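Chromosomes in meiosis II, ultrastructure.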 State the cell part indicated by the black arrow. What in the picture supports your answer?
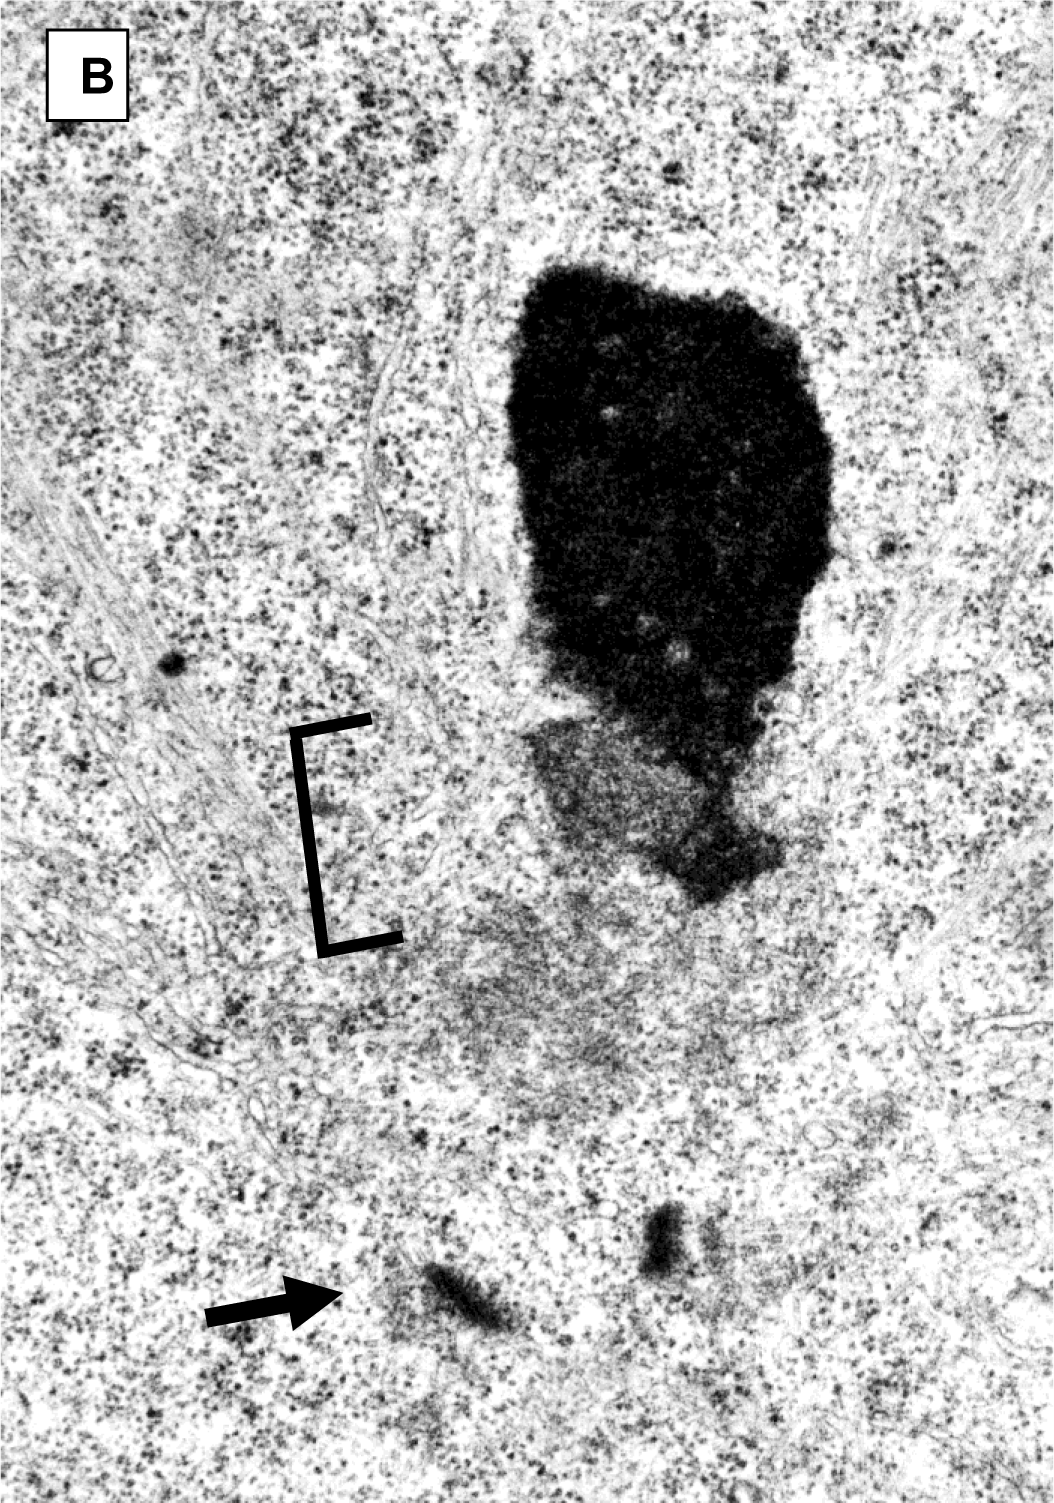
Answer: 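The arrow points to a small, dense, rod-like body in the lower part of the panel. A second small dense body lies close beside it. Fibres converge toward this region.
Centrosome.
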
